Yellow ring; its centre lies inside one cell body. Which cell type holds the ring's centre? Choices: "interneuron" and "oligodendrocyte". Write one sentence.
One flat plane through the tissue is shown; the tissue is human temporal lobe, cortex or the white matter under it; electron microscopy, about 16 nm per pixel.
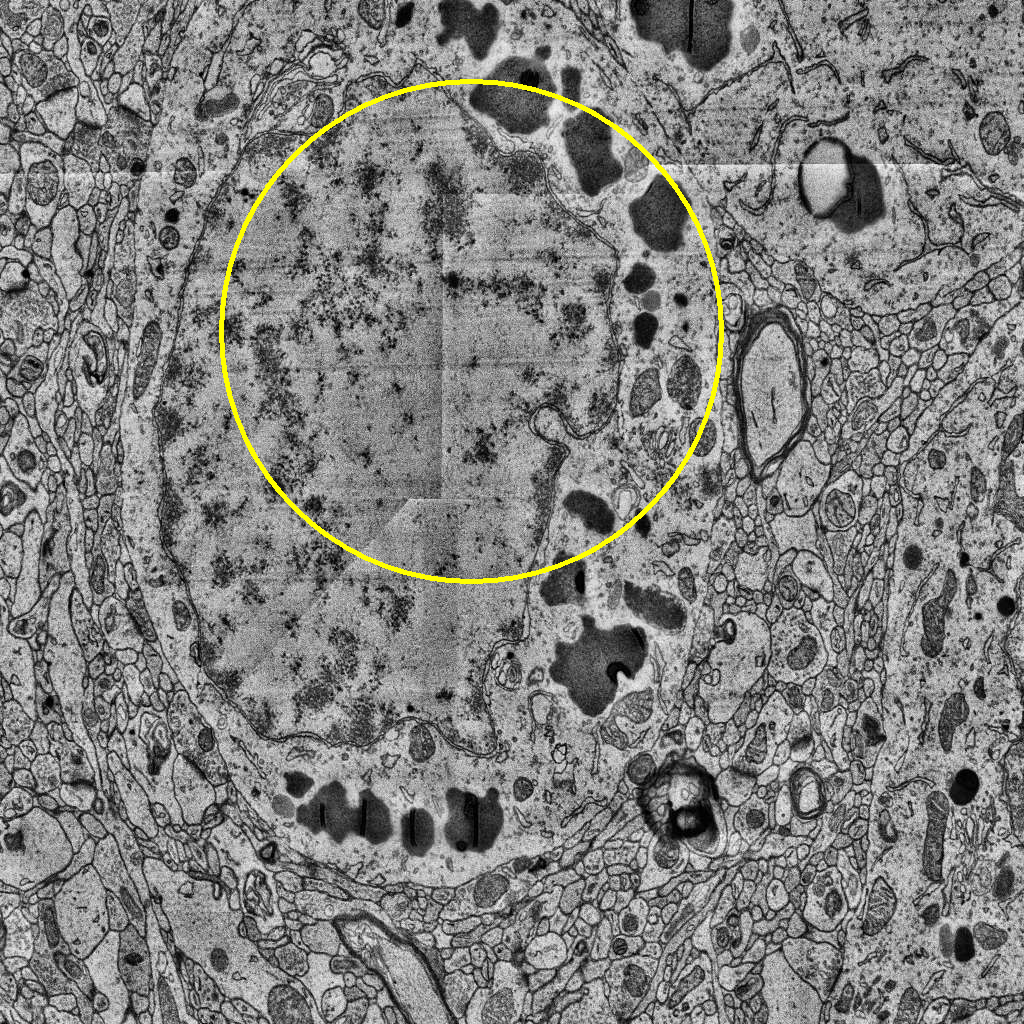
At the centre of the ring sits an interneuron.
